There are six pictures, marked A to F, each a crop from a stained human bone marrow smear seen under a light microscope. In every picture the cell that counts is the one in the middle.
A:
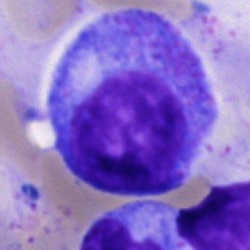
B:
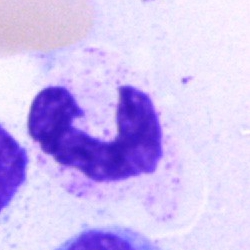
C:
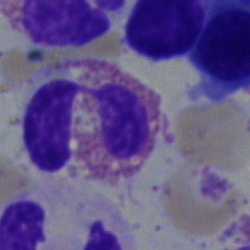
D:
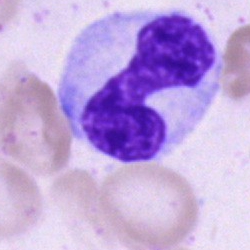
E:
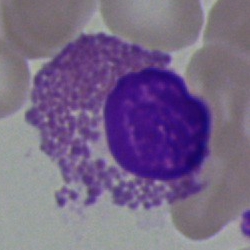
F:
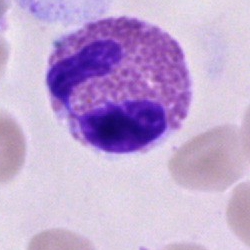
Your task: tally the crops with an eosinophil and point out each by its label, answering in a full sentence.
Depicted in three crops, namely C, E and F, are eosinophils.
